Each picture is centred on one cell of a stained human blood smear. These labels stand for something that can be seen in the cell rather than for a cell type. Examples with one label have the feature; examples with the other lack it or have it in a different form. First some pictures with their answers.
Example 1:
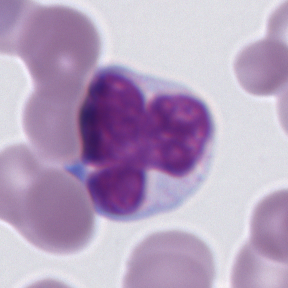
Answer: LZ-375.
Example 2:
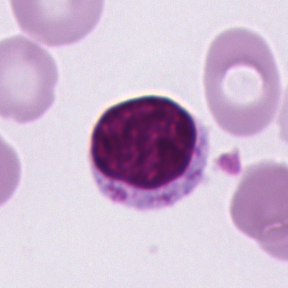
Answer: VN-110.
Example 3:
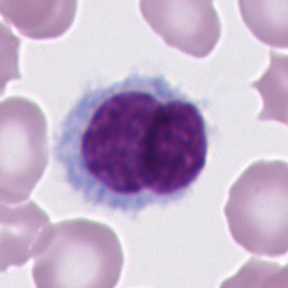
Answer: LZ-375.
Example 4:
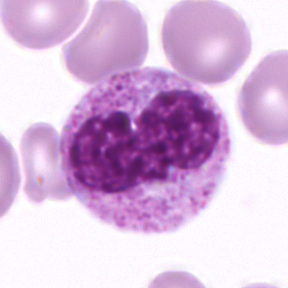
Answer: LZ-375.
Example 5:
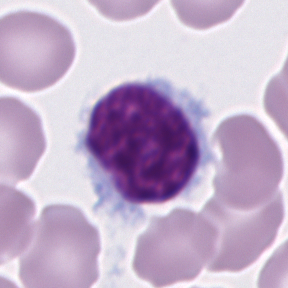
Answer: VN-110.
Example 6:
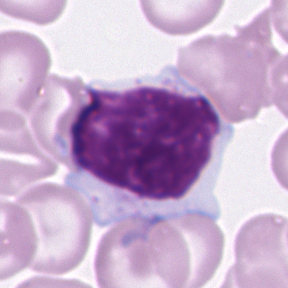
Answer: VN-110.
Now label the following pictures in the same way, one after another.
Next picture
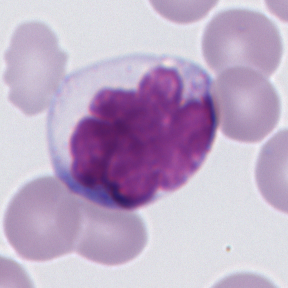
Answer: LZ-375.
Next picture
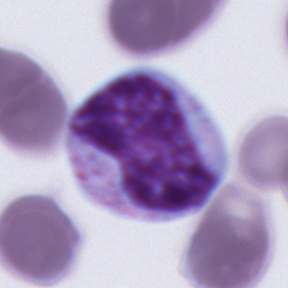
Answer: VN-110.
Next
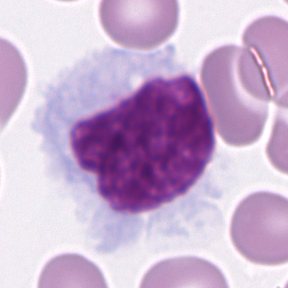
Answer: VN-110.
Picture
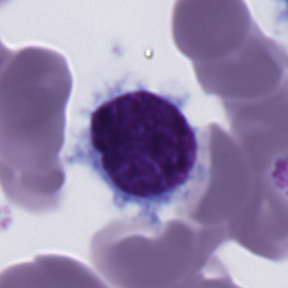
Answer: VN-110.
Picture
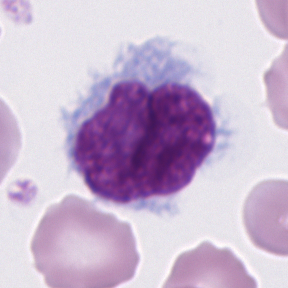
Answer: LZ-375.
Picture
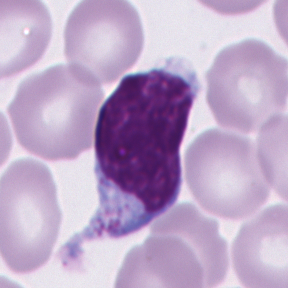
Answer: VN-110.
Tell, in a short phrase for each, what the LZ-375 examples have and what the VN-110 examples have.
LZ-375: lobed nucleus; VN-110: single compact nucleus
